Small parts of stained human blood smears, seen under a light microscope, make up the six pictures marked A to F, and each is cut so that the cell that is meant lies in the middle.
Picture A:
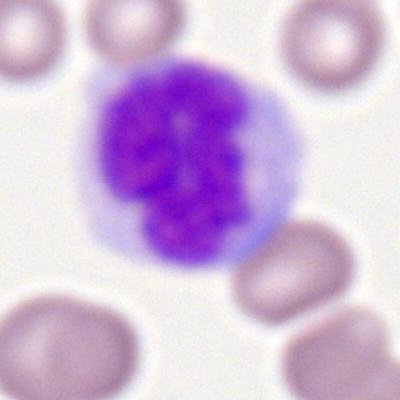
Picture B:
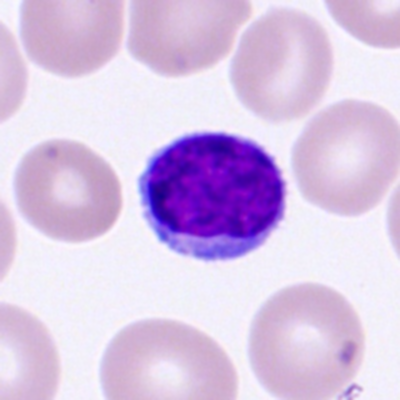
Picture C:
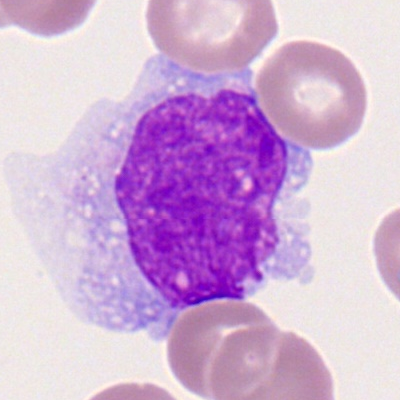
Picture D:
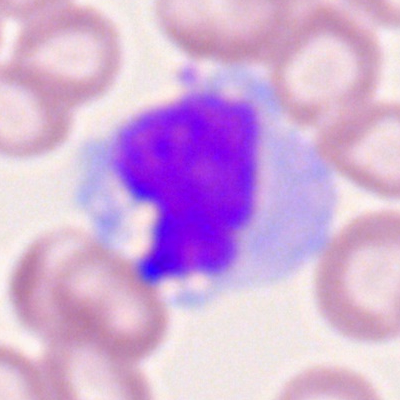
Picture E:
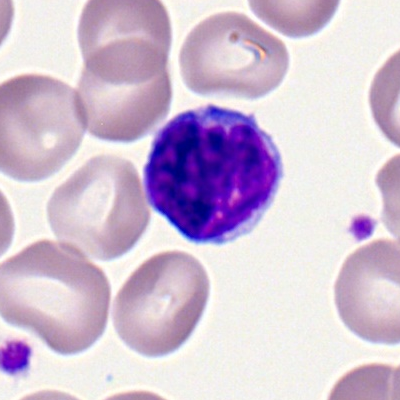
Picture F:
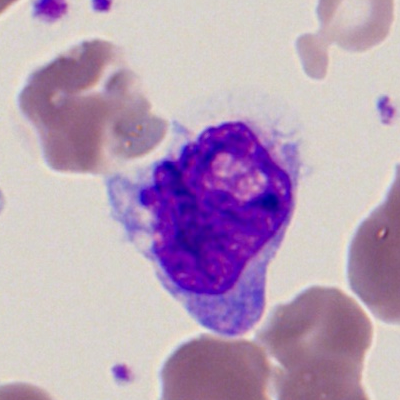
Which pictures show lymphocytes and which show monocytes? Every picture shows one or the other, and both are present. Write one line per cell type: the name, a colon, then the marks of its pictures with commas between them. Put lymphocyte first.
lymphocyte: B, E
monocyte: A, C, D, F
